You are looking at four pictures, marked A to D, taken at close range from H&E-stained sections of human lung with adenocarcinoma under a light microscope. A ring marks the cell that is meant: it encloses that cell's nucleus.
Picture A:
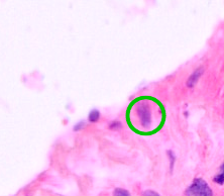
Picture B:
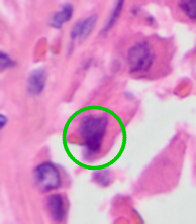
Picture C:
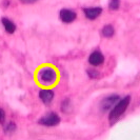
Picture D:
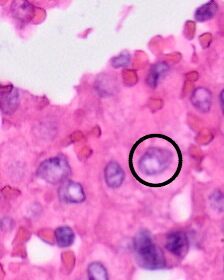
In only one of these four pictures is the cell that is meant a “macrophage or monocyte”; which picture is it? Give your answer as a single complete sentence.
The picture with the “macrophage or monocyte” is D.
